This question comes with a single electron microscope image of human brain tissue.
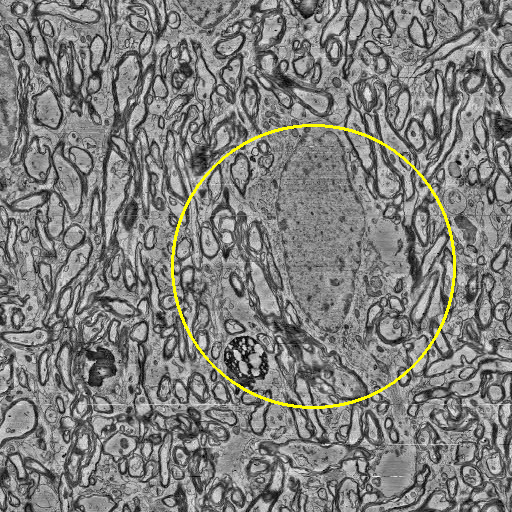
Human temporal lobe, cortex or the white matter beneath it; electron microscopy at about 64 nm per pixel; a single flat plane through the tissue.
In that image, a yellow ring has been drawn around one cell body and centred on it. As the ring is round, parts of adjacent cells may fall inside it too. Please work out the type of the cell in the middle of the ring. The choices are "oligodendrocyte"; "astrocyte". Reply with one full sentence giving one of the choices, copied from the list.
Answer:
Of the choices, an astrocyte is the cell sitting in the middle of the ring.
